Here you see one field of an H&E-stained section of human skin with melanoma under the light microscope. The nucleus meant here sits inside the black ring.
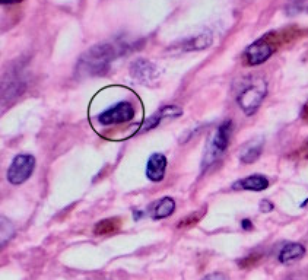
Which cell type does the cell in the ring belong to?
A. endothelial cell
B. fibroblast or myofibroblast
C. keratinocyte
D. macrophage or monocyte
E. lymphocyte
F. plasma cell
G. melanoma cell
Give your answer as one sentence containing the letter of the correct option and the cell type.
In this item, the cell in the ring is a plasma cell, and option F is right.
